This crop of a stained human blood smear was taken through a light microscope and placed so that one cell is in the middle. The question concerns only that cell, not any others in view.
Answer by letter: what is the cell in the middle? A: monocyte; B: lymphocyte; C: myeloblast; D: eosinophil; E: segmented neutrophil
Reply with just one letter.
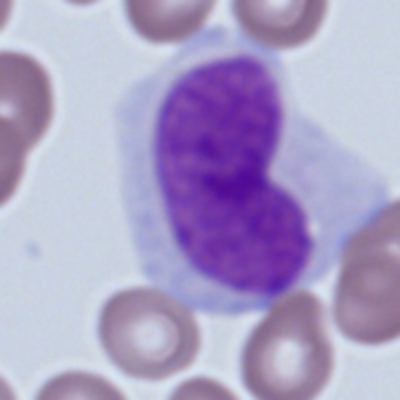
A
